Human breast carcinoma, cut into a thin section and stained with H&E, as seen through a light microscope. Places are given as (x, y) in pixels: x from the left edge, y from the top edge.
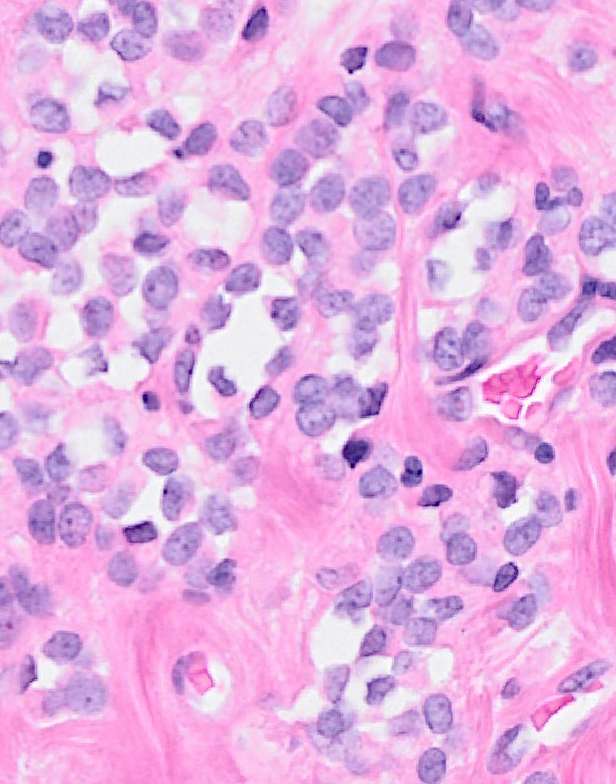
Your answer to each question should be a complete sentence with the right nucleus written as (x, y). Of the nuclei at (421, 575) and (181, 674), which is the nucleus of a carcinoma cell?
Of the two, the nucleus at (421, 575) is the one contained in a carcinoma cell.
